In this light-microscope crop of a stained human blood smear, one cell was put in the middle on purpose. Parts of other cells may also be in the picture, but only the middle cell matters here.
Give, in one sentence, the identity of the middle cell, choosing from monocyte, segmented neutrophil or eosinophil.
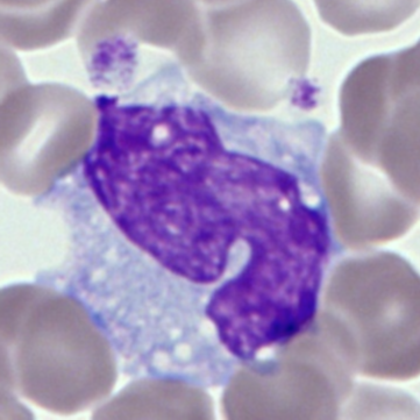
As for the cell in the middle, it is a monocyte.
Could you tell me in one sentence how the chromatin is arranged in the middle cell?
Heads up, the chromatin is fine with no coarse clumps in it.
